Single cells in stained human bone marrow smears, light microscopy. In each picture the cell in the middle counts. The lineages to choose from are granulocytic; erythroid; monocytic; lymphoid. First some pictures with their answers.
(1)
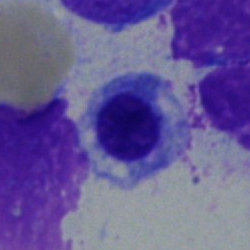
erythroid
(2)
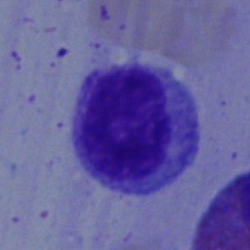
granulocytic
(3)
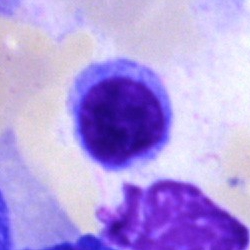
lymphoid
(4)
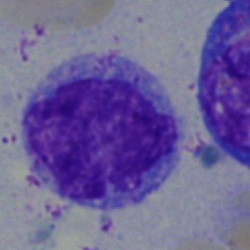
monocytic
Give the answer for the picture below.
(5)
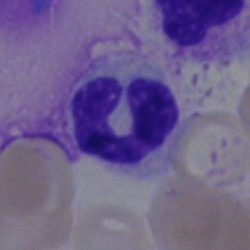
granulocytic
